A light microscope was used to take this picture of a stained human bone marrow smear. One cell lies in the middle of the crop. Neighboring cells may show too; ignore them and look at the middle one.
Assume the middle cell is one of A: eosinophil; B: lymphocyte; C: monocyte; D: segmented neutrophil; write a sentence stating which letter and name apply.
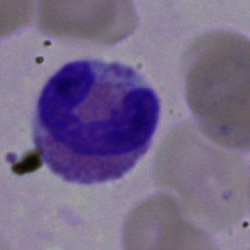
Here the central cell is an eosinophil, and option A is correct.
